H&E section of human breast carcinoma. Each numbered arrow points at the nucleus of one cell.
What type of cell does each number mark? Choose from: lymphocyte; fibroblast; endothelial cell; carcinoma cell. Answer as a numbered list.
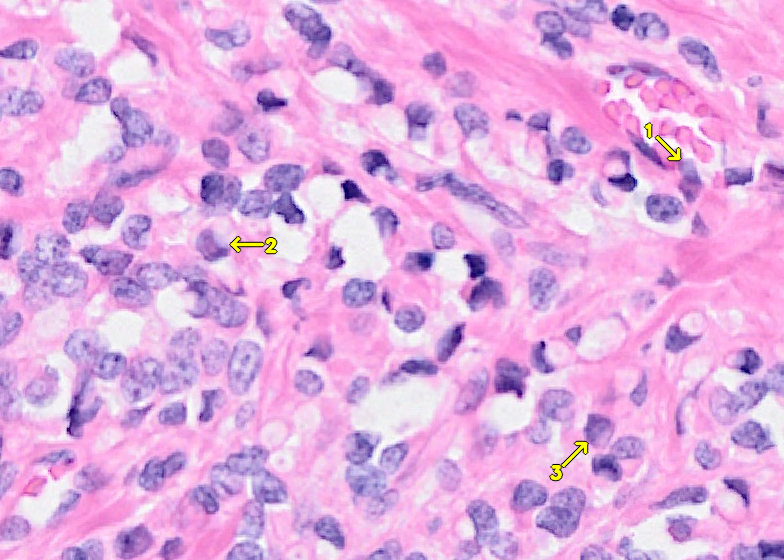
1. endothelial cell
2. carcinoma cell
3. carcinoma cell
